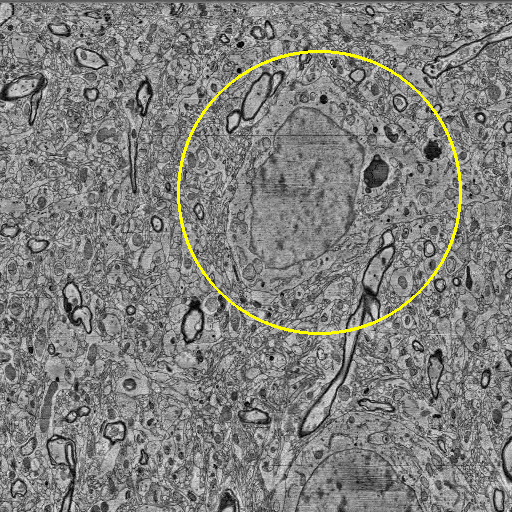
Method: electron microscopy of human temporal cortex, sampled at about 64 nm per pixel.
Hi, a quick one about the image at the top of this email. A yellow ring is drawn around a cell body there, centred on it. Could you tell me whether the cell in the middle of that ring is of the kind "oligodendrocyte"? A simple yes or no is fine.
no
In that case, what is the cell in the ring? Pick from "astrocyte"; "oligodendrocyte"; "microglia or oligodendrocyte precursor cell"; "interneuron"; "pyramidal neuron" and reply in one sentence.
The correct answer is that the cell is an interneuron.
